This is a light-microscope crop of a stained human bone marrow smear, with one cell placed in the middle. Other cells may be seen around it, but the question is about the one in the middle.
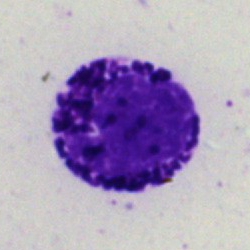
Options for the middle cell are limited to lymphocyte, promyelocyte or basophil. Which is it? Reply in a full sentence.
Looking at the middle of the crop, the cell there is a basophil.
